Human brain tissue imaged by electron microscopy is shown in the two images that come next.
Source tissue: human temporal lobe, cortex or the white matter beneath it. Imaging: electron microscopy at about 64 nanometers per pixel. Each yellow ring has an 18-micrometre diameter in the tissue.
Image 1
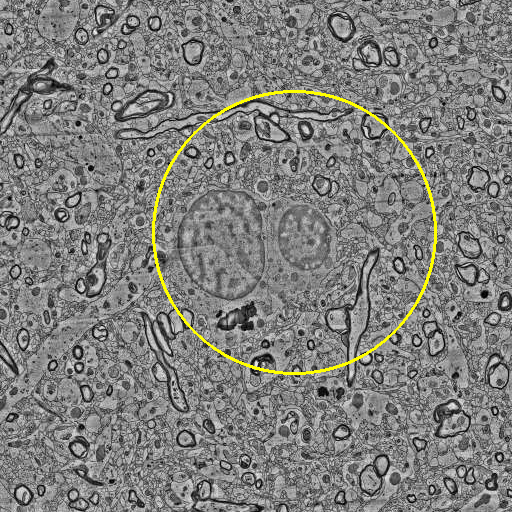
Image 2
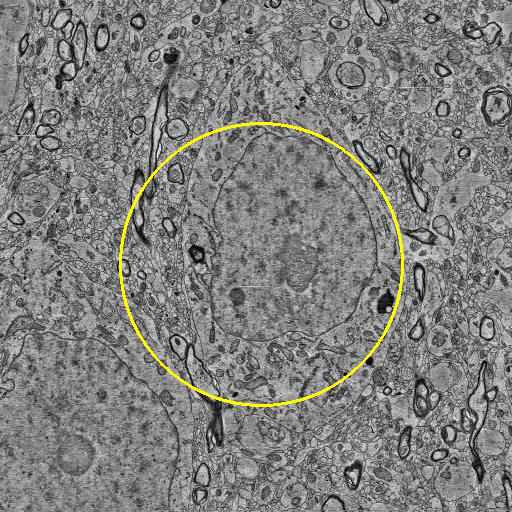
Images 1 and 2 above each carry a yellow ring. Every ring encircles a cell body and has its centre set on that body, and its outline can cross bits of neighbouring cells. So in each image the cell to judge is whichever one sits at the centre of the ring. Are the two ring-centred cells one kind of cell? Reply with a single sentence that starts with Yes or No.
No, in Image 1 and Image 2 the cells at the centres of their rings fall into two types.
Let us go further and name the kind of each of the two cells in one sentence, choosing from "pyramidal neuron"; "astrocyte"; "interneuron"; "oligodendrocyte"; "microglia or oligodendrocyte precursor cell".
The ring of the first picture is on an oligodendrocyte, the ring of the second on an interneuron.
